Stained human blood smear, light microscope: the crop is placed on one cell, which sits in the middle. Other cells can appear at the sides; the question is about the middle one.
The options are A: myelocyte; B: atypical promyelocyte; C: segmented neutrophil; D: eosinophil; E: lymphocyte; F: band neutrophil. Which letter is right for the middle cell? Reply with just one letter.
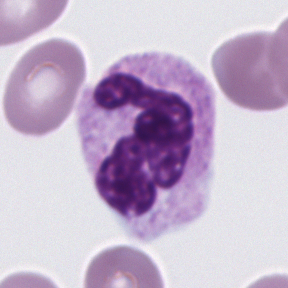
C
